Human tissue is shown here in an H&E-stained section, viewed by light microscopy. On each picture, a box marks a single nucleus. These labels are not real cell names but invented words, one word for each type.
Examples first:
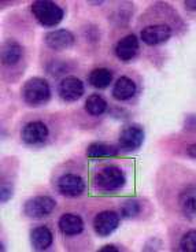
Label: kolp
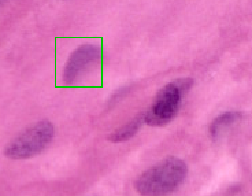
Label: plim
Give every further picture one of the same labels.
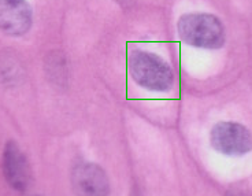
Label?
plim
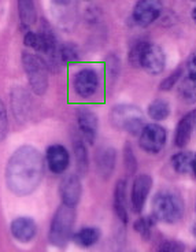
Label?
kolp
